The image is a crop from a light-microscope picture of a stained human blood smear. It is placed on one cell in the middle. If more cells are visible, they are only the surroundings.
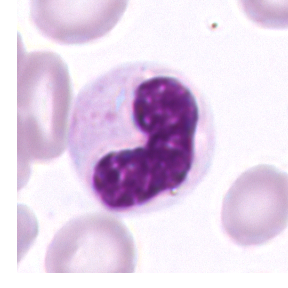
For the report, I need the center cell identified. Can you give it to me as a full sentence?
The cell at the centre of the field is a band neutrophil.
